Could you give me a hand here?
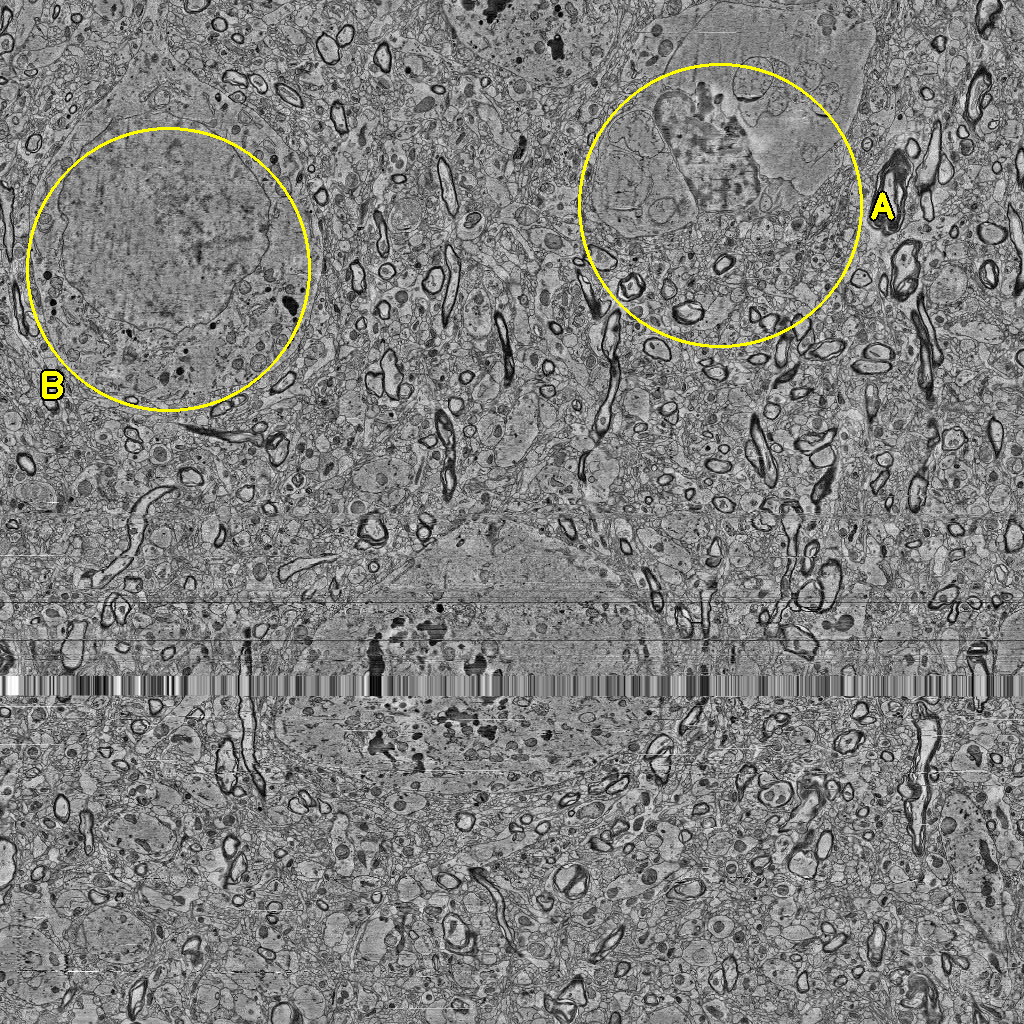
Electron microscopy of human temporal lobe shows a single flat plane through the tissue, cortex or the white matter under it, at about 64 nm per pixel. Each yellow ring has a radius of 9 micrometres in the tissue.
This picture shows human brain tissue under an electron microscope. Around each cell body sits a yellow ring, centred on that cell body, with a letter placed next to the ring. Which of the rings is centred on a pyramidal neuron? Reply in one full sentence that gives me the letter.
The cell asked for sits at the centre of ring B in the picture.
